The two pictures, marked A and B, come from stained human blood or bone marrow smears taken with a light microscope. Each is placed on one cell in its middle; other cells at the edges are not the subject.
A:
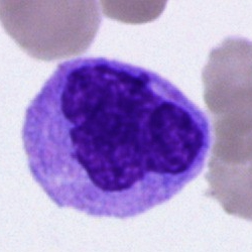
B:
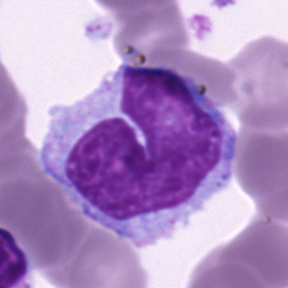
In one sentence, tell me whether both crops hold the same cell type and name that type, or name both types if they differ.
Yes, in both of the crops, the central cells are monocytes.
